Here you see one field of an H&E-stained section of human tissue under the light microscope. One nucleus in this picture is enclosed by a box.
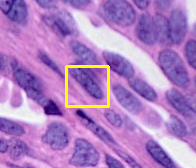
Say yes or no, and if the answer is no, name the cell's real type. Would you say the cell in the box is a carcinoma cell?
Yes.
